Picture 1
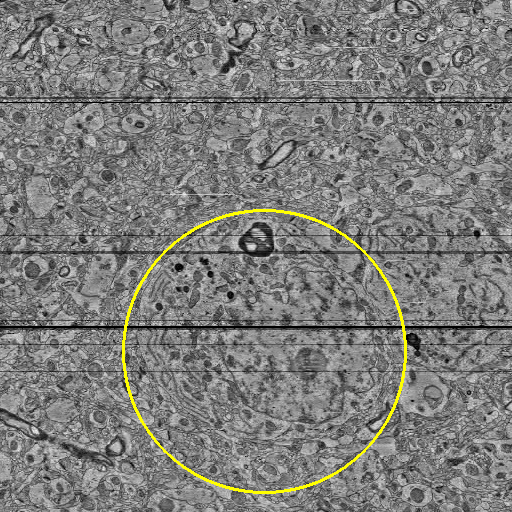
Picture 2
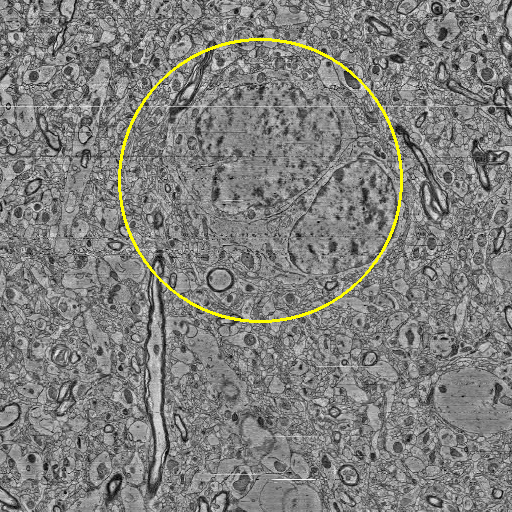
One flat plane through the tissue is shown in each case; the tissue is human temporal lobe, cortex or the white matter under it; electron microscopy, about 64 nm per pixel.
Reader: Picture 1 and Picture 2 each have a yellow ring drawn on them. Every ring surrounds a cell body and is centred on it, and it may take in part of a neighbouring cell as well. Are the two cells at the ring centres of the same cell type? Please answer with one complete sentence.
Yes, both cells are of the same cell type.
